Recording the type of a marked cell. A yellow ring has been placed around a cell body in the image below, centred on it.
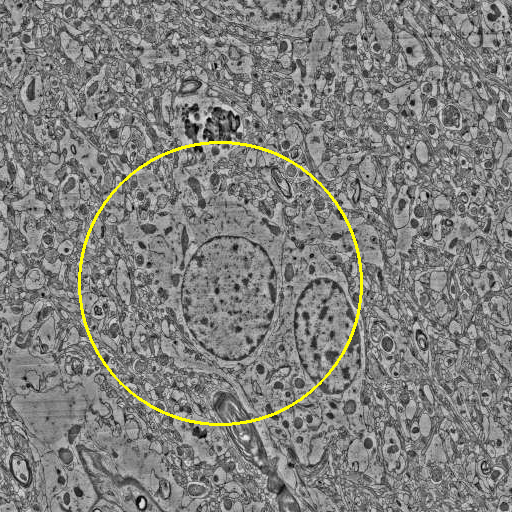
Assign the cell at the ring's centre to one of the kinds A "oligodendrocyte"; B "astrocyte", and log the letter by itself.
B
